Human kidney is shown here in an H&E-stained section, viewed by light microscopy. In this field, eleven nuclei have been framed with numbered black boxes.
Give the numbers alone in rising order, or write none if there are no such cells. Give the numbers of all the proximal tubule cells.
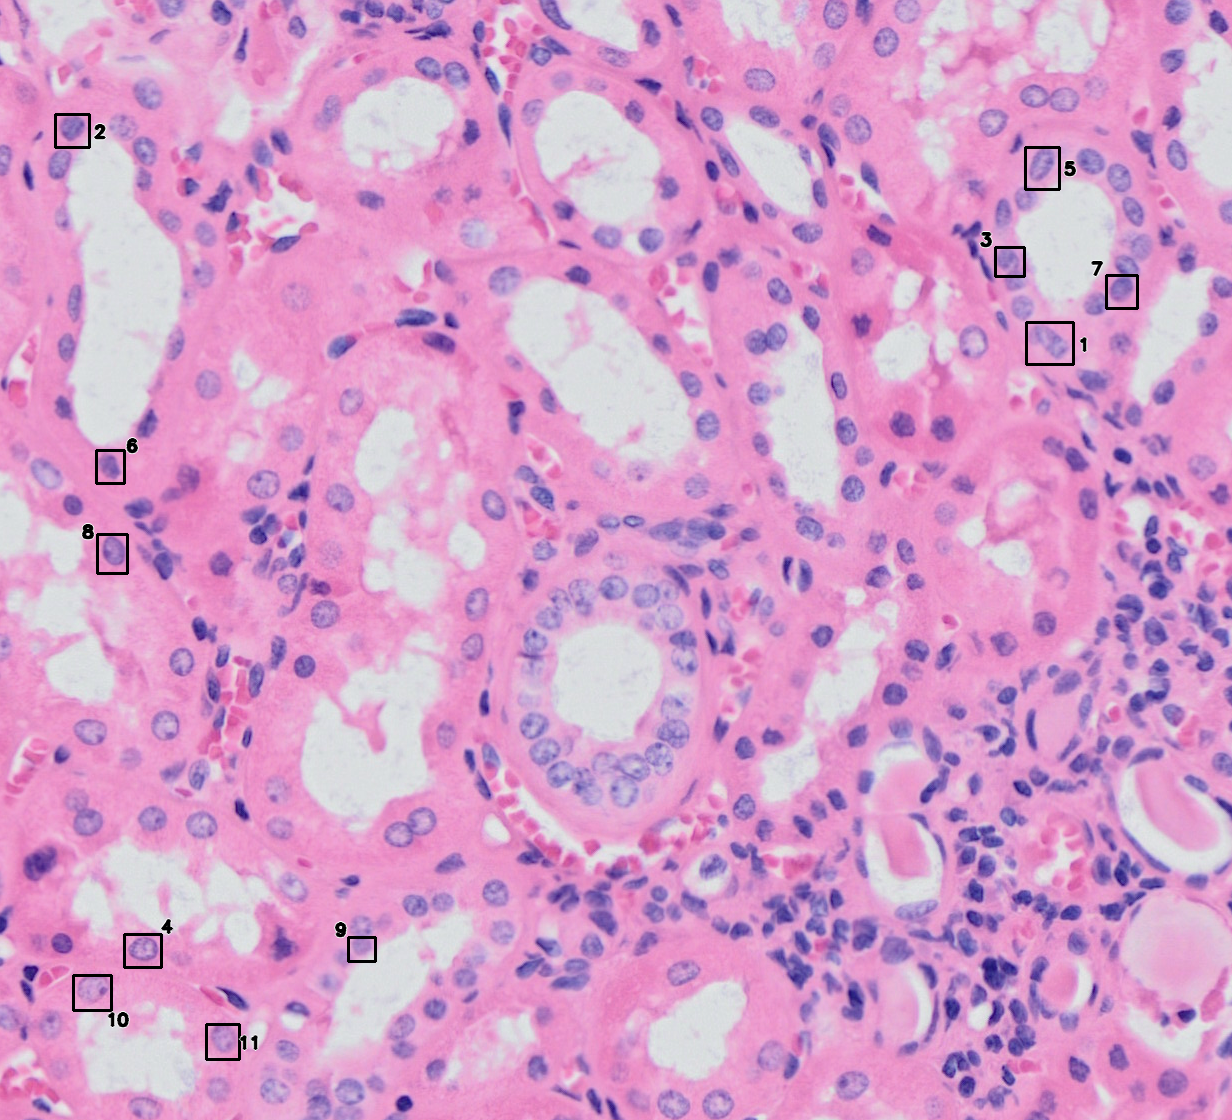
4, 8, 10, 11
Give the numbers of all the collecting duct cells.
1, 3, 5, 7, 9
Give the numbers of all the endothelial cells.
none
